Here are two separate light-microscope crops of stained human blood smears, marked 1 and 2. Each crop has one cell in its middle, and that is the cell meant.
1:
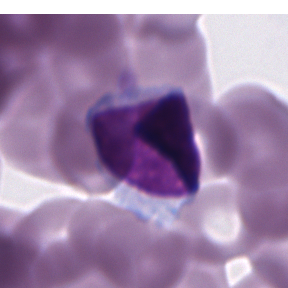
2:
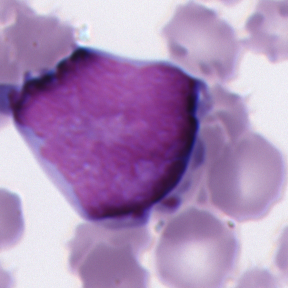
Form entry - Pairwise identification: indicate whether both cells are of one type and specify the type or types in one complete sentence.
No, crop 1 has a lymphocyte at its center, and crop 2 has a blast.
